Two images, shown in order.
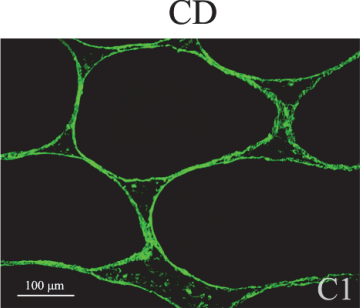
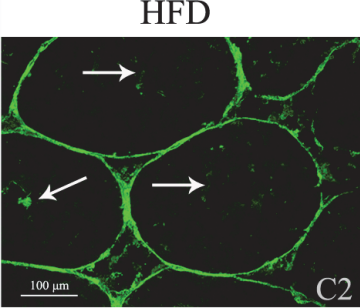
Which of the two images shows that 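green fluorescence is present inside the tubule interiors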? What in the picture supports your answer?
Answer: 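The second image. Second image: green specks lie within the dark interiors of several tubules. First image: green is confined to the spaces between tubules and their rims, the interiors are dark.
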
